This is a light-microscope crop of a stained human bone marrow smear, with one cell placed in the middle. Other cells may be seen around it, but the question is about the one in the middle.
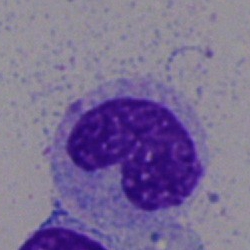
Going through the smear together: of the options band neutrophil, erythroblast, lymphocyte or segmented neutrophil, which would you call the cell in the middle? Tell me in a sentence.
The cell under consideration, at the middle of the crop, is a band neutrophil.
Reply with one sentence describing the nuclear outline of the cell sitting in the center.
There is one compact nucleus, and its shape is round, oval or kidney-like.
